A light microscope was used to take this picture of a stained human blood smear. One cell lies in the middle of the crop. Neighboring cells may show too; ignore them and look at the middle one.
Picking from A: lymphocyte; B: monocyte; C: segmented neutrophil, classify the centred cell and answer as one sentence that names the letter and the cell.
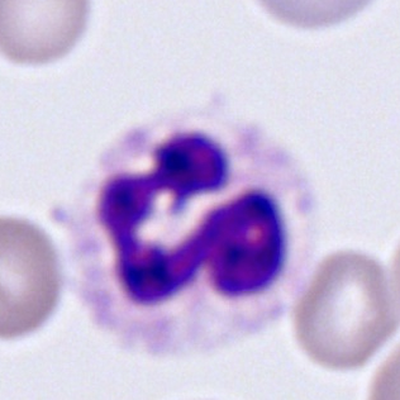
According to option C, which is correct, the cell in the middle is a segmented neutrophil.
